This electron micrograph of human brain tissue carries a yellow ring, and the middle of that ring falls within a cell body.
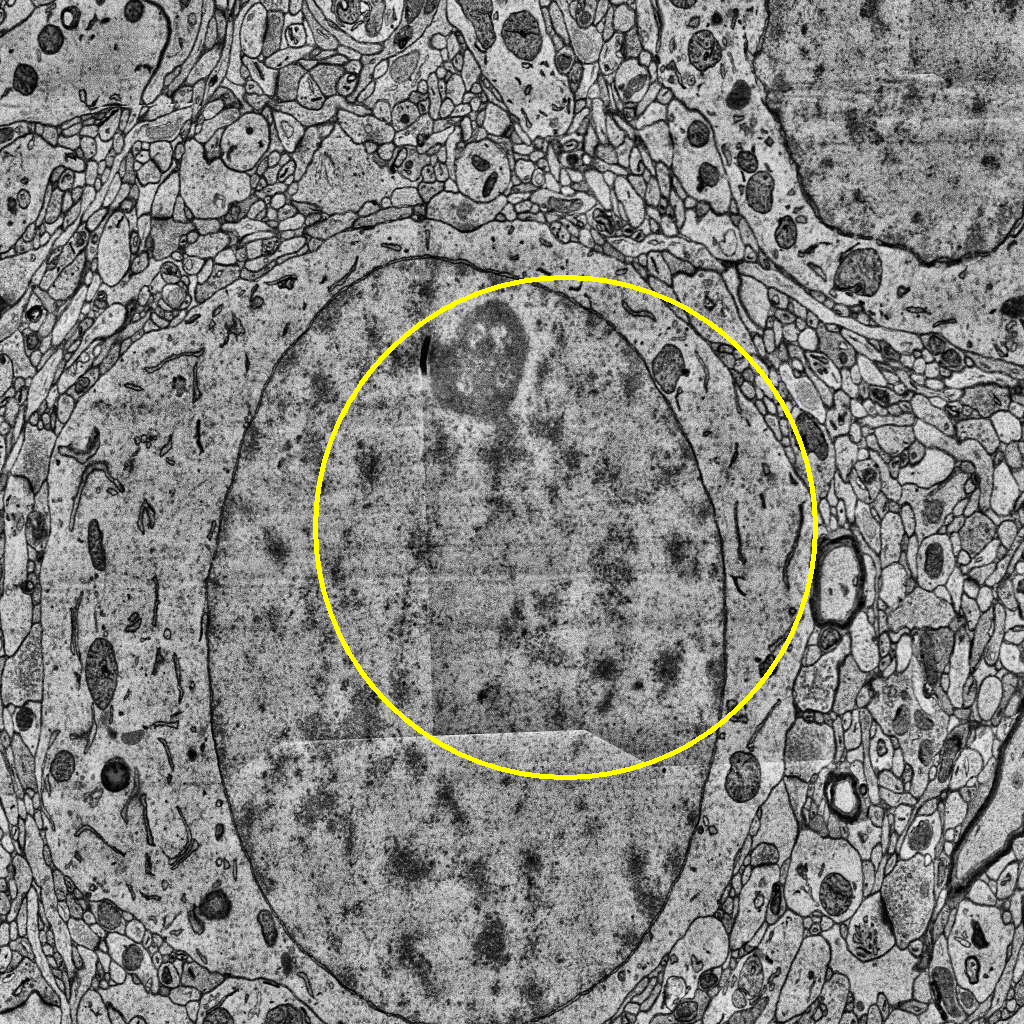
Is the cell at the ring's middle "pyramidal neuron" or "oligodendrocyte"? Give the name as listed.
pyramidal neuron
